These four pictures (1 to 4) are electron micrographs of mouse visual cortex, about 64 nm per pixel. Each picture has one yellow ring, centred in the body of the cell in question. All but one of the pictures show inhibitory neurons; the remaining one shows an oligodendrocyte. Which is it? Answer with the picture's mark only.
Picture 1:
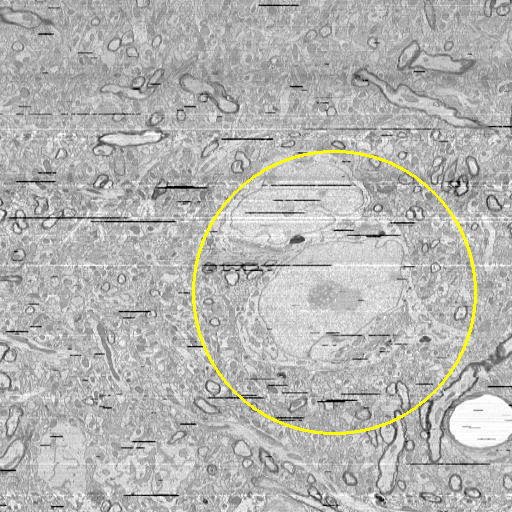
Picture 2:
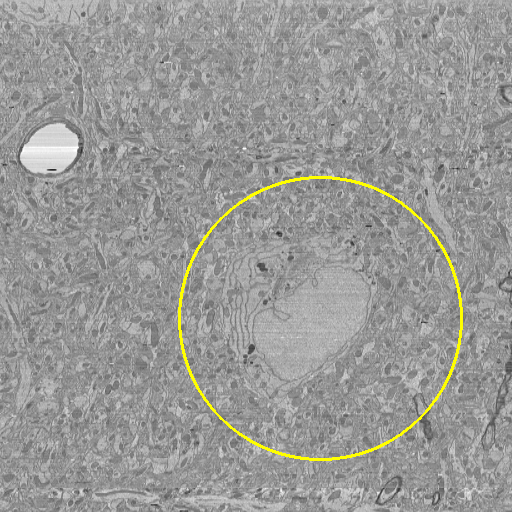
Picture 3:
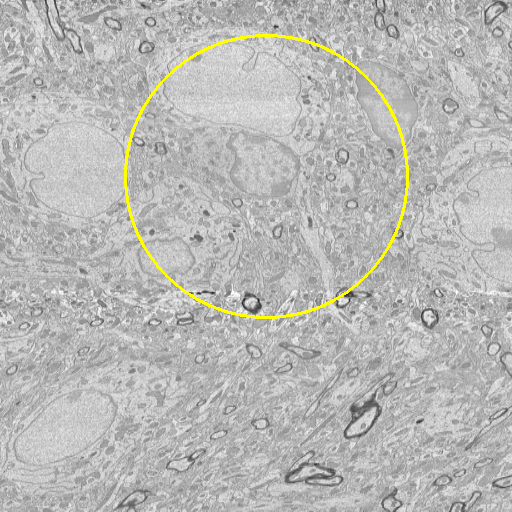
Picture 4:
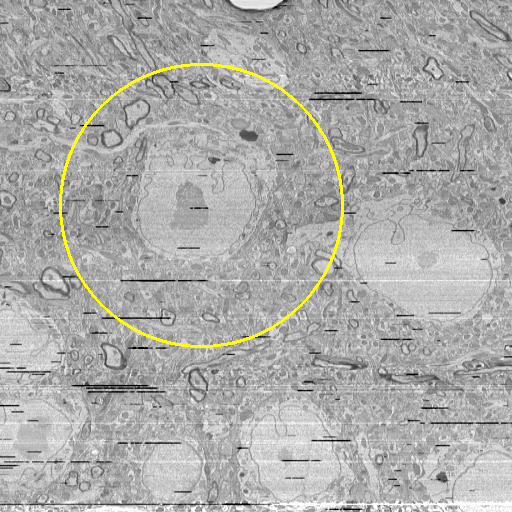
3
